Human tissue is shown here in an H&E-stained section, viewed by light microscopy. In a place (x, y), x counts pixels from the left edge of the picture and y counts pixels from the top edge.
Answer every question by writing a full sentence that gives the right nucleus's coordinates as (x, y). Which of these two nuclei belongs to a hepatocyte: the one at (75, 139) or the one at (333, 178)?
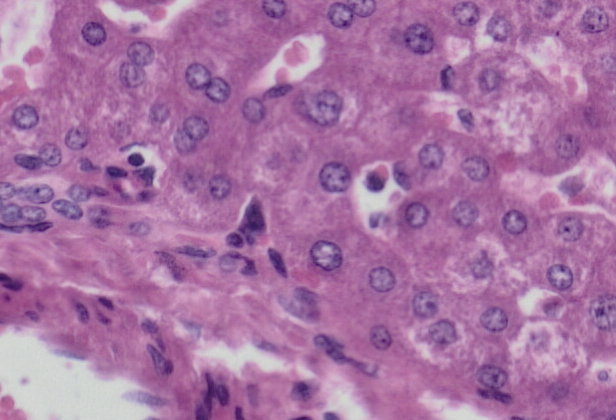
Answering which nucleus it is: the one at (333, 178), belonging to a hepatocyte.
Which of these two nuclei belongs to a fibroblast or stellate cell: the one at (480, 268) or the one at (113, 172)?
Of the two, the nucleus lying at (113, 172) is the one belonging to a fibroblast or stellate cell.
